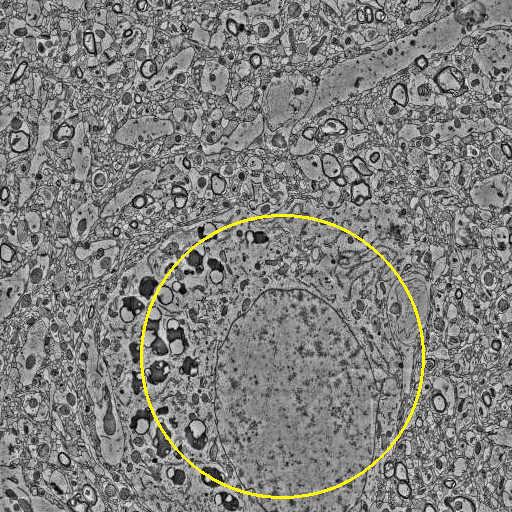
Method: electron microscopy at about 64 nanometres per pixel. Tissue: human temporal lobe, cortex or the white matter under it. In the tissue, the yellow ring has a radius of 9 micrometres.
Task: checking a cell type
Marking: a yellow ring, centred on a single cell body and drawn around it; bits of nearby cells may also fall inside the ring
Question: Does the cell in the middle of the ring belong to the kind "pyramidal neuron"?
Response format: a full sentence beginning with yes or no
Yes, the cell marked at the ring's centre in the picture is of that kind.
